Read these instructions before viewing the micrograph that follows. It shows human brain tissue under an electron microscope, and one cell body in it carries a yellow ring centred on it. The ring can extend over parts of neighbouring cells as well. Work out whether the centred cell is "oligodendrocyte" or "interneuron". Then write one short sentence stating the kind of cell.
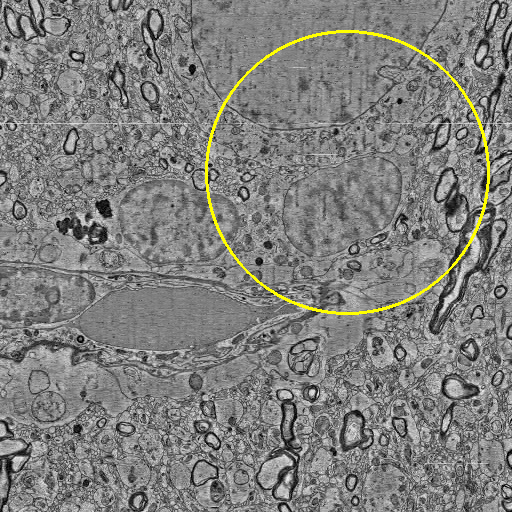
The ringed cell is an oligodendrocyte.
